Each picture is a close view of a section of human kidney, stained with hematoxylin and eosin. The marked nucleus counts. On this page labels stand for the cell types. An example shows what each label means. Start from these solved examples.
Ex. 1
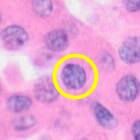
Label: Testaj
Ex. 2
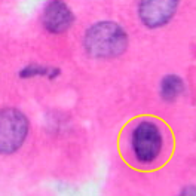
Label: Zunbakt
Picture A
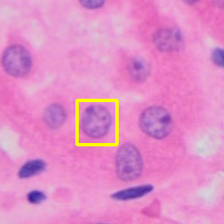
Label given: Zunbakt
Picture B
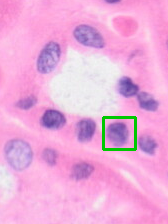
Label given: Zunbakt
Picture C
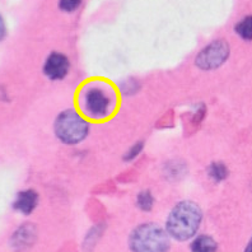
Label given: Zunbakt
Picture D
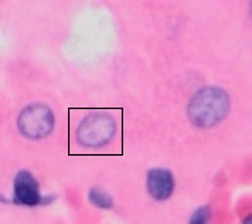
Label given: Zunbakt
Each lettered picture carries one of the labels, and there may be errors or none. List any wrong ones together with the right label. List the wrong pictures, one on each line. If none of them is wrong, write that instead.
Wrong: B (Zunbakt); correct: Testaj
Wrong: C (Zunbakt); correct: Testaj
